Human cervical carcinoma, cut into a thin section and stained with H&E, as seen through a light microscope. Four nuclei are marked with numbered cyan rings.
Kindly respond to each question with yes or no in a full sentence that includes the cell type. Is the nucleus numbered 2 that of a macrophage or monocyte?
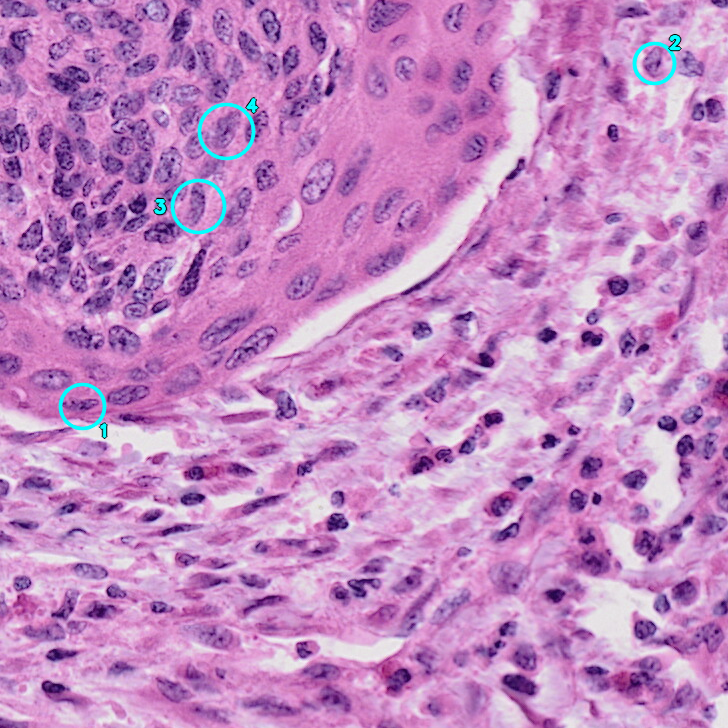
Yes, the cell at number 2 is a macrophage or monocyte.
